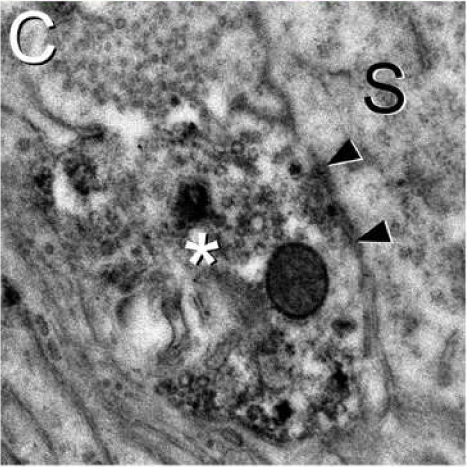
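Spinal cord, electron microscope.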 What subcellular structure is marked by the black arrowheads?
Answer: synaptic active zones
